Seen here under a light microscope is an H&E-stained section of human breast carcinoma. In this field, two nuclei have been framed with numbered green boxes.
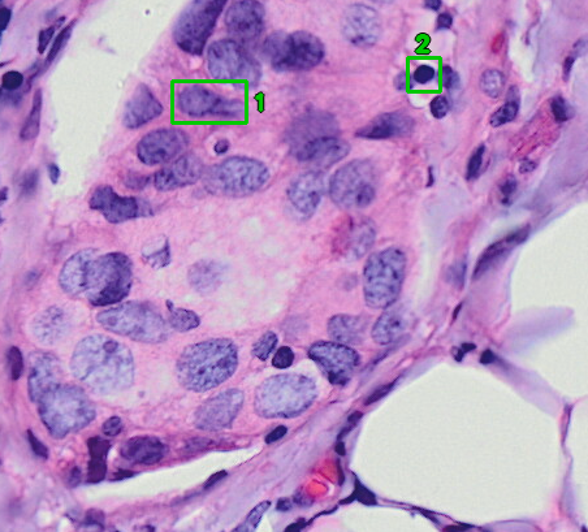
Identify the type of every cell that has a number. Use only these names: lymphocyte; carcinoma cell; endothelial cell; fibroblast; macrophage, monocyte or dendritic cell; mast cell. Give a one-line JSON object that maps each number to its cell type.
{"1": "carcinoma cell", "2": "lymphocyte"}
